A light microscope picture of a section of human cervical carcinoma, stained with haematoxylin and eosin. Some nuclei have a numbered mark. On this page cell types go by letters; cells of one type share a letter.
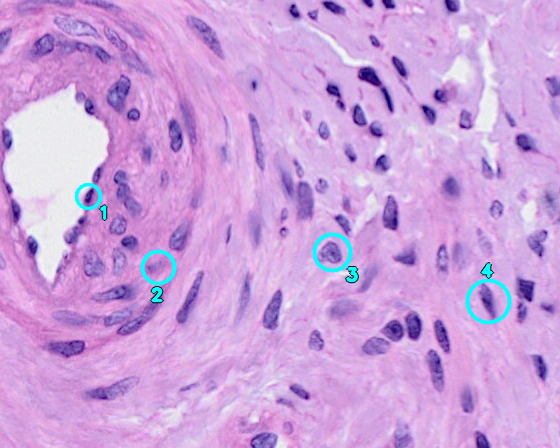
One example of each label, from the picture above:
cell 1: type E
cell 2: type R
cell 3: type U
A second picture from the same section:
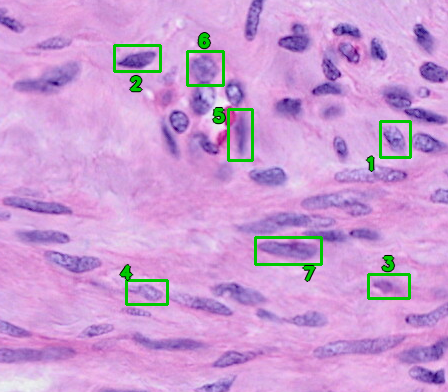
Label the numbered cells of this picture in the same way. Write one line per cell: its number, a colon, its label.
1: type R
2: type U
3: type R
4: type R
5: type E
6: type E
7: type R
